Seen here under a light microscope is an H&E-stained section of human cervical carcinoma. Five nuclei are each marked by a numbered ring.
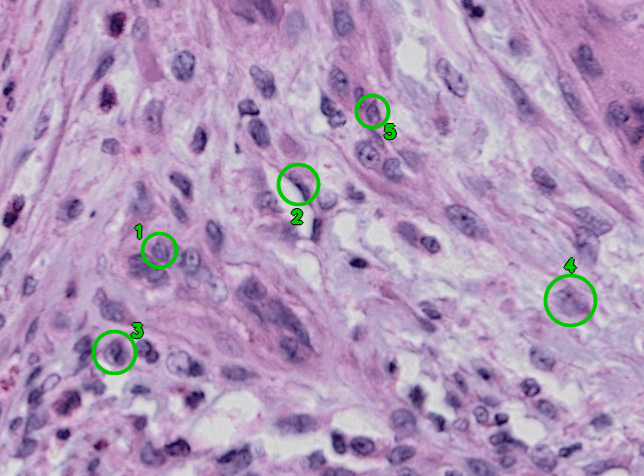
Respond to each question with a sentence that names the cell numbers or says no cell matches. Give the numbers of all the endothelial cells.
Cells 1, 2 and 5 in the section are typed as endothelial cells.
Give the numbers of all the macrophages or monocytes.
Only number 3 of the marked cells is a macrophage or monocyte.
